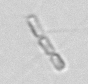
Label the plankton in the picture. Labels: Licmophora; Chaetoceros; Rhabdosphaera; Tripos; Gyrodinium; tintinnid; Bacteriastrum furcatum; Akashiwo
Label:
Chaetoceros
